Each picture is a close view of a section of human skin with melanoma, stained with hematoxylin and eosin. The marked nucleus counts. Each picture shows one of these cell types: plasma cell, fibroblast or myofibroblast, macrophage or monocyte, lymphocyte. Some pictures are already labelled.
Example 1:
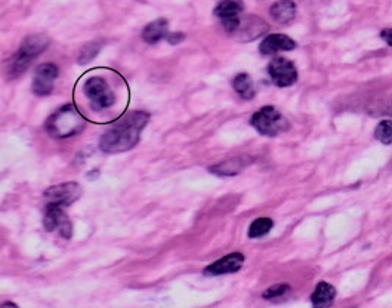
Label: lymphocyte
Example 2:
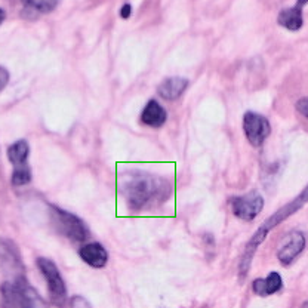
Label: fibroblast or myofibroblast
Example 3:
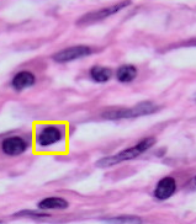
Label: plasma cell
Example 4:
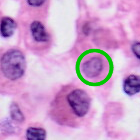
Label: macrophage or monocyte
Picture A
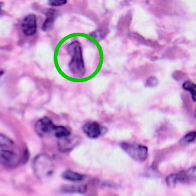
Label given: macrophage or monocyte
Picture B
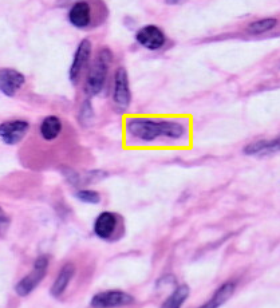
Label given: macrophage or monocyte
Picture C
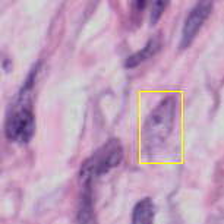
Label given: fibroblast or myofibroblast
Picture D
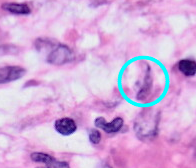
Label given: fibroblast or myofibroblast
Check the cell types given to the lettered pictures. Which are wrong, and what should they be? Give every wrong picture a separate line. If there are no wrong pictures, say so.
All correct.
